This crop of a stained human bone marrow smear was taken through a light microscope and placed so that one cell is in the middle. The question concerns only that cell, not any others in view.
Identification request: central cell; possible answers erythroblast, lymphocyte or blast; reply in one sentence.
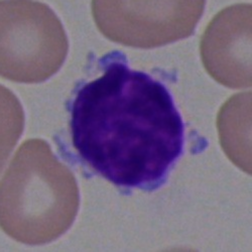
To answer, the cell in the center of the crop is a lymphocyte.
